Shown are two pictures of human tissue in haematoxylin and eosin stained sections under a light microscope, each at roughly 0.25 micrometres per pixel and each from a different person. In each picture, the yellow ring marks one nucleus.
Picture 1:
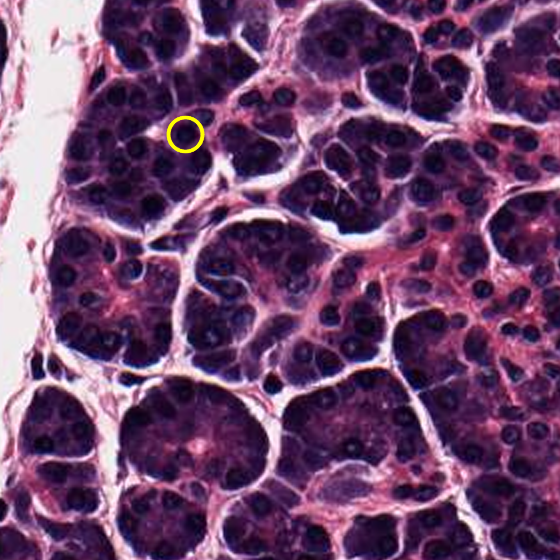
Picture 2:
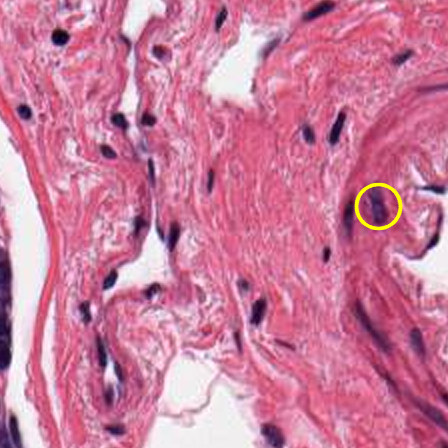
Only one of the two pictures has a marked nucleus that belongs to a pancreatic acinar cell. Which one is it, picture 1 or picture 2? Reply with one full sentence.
In picture 1, the marked nucleus is part of a pancreatic acinar cell, which is not so in the other picture.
